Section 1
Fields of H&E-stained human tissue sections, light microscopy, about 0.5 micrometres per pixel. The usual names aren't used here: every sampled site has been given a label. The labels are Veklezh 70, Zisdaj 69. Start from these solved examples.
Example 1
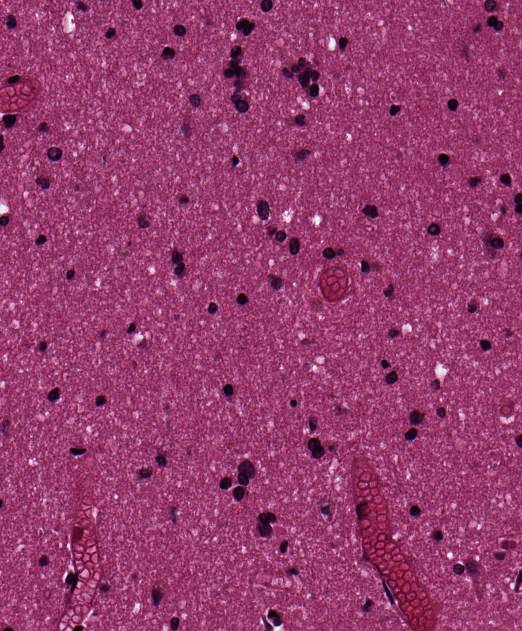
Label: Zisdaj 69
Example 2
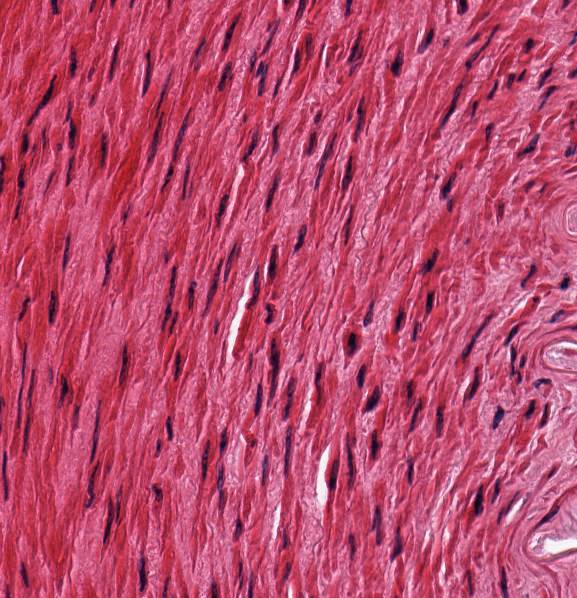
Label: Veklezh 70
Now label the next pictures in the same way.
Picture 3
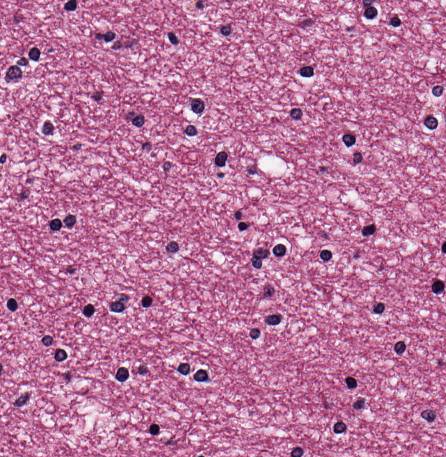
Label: Zisdaj 69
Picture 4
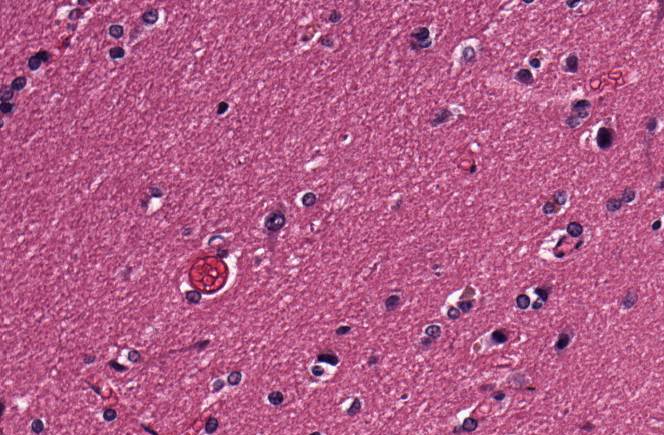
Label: Zisdaj 69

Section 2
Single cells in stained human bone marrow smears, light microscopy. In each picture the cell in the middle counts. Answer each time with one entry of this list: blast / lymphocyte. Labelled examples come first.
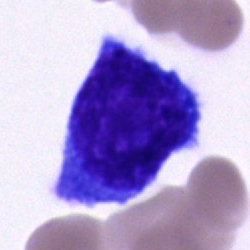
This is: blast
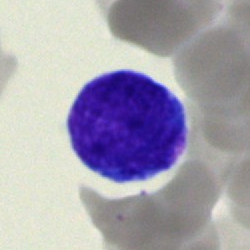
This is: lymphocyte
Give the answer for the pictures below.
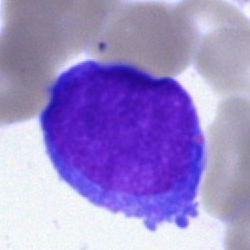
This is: blast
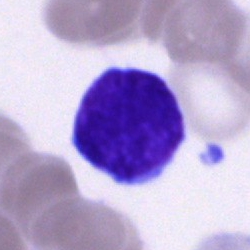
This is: lymphocyte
